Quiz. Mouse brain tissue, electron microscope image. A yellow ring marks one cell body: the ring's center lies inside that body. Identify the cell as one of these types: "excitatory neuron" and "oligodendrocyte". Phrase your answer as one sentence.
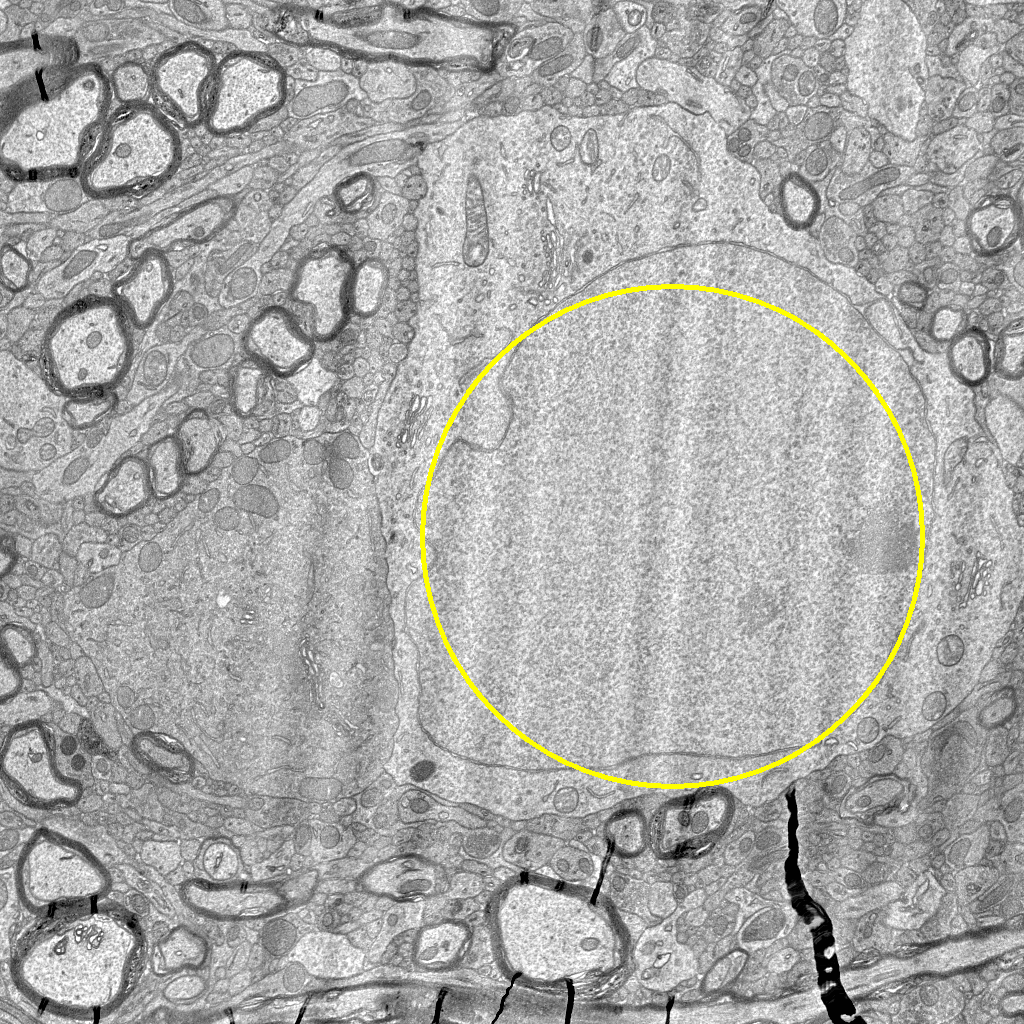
At the center of the ring sits an excitatory neuron.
